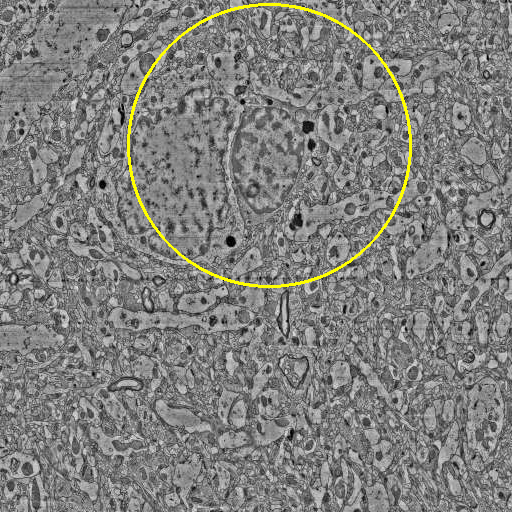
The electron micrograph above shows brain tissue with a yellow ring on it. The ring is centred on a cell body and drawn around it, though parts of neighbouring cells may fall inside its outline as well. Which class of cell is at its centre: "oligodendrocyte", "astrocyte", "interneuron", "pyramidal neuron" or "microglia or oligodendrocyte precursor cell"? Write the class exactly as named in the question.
oligodendrocyte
